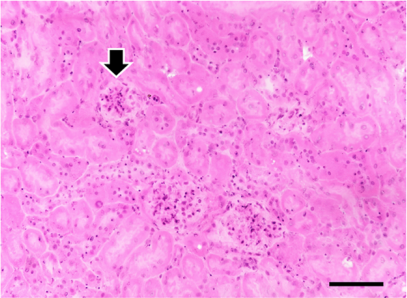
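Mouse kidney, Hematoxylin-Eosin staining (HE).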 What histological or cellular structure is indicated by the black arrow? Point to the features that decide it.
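The arrow points at a round cluster of nuclei surrounded by tubular profiles. On this evidence: glomeruli.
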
